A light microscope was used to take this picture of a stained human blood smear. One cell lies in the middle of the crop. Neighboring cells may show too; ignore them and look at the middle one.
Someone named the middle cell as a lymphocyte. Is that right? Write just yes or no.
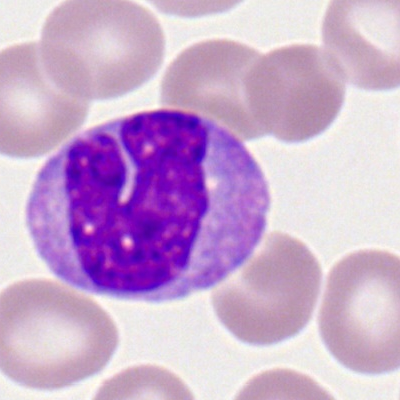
no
